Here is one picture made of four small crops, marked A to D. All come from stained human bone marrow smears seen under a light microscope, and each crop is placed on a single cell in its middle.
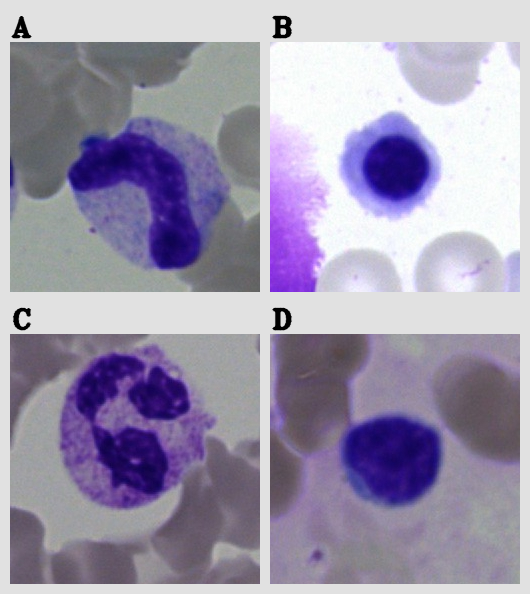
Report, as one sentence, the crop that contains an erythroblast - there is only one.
It is in crop B, among all the crops, that an erythroblast is present.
